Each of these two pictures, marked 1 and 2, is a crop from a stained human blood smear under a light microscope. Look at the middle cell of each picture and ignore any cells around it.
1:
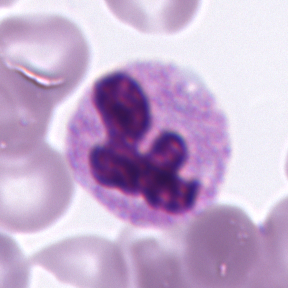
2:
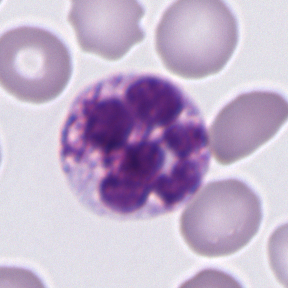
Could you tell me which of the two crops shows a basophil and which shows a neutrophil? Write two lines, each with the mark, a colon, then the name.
1: neutrophil
2: basophil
